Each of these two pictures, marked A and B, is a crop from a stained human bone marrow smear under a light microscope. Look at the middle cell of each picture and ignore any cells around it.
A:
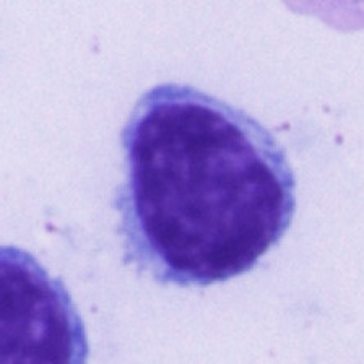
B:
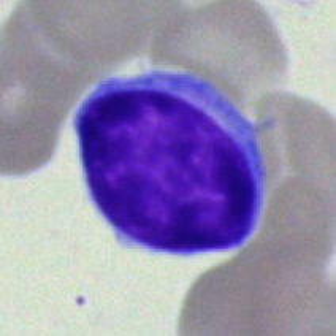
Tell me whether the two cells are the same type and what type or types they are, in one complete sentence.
Yes, lymphocytes are the cells in the middle of both crops.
